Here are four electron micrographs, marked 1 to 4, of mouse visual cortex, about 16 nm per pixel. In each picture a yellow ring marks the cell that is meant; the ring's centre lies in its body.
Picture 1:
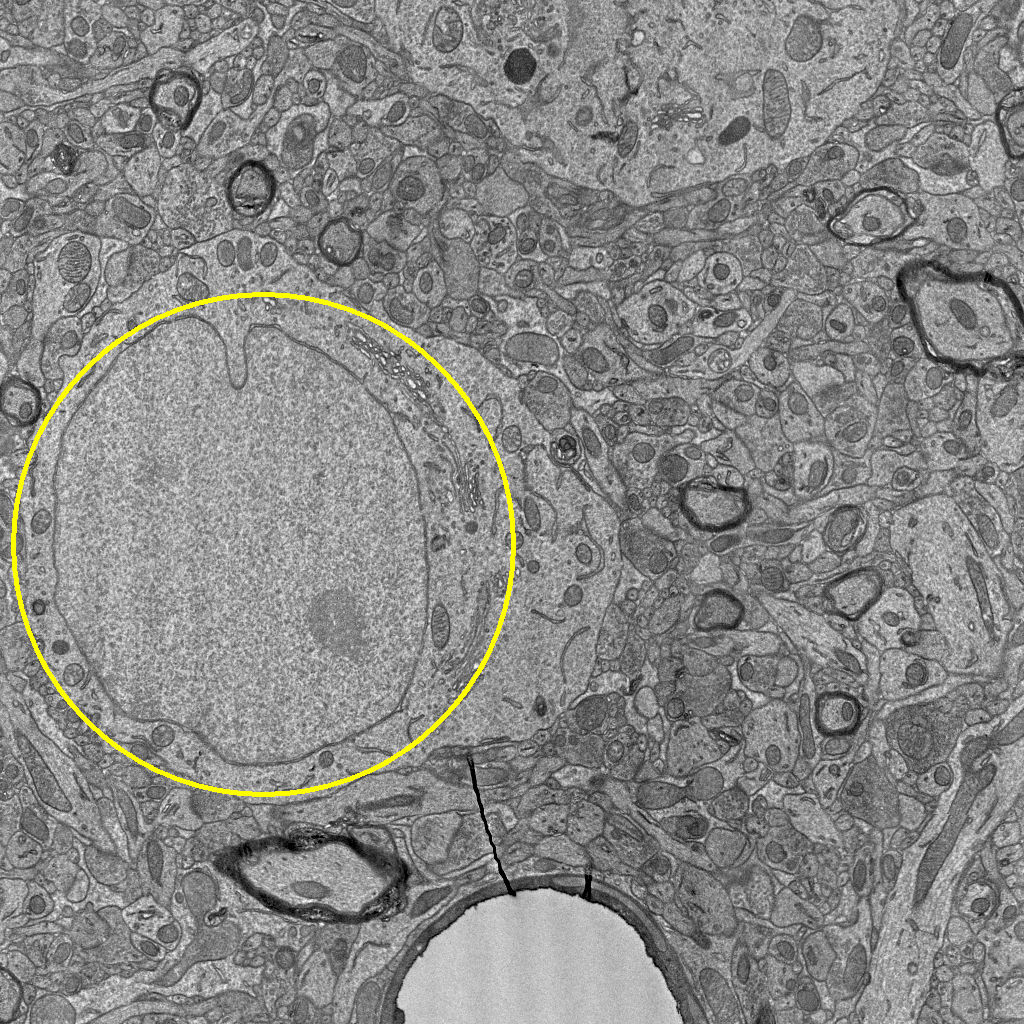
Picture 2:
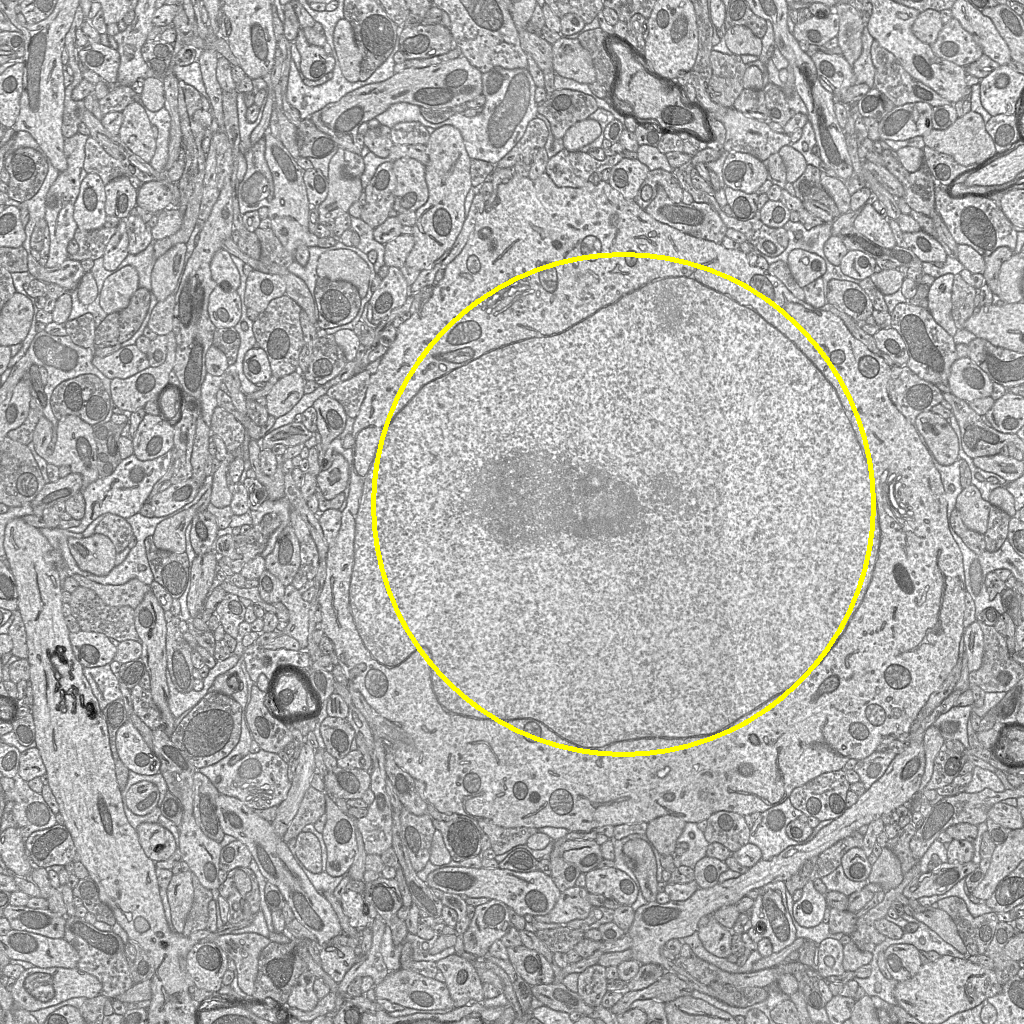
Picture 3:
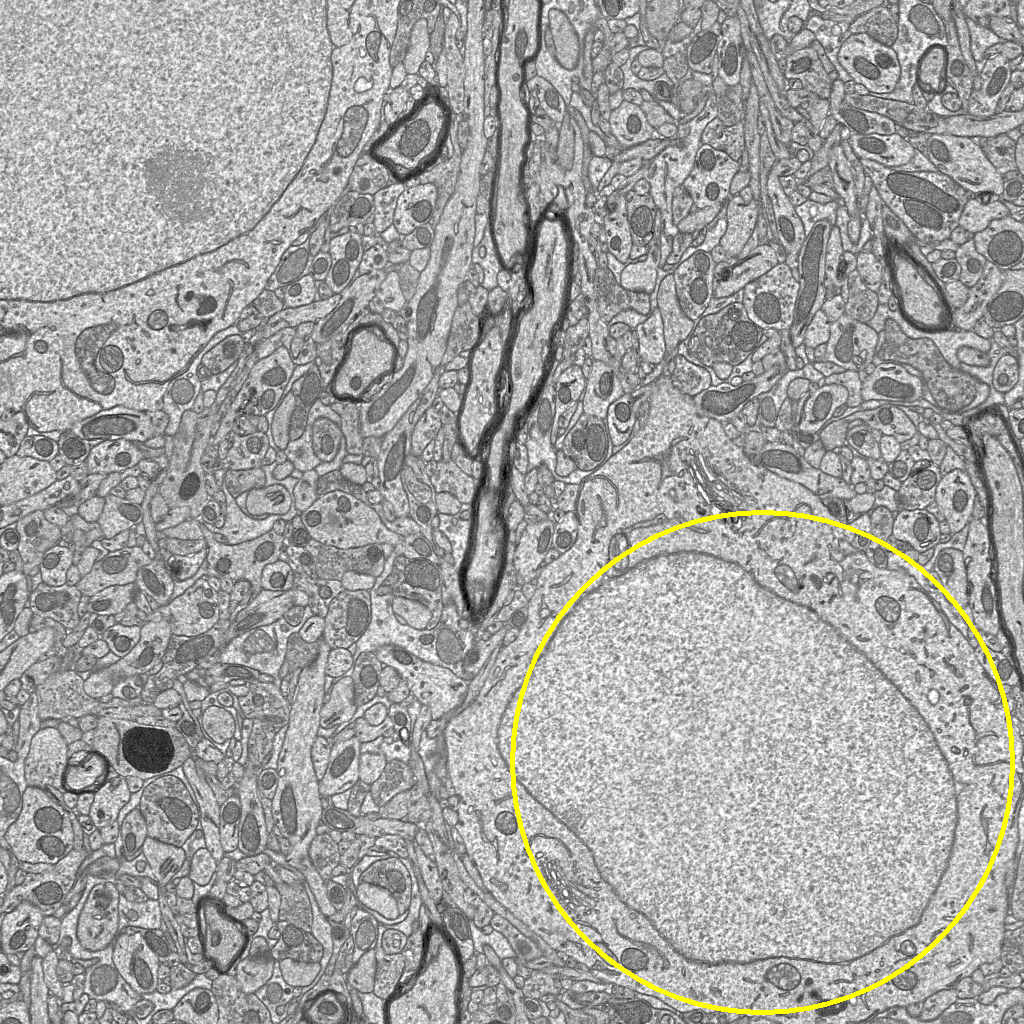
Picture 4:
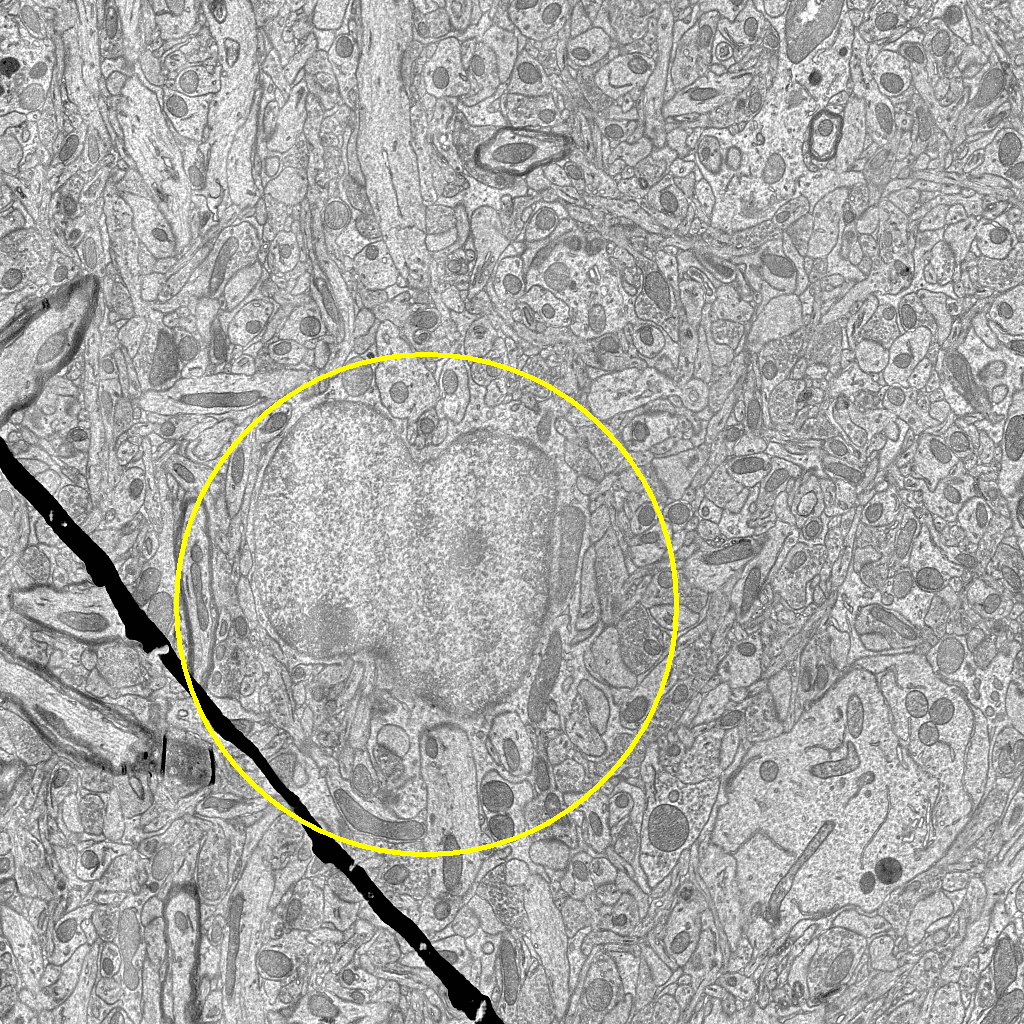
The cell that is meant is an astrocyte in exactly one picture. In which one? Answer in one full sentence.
Picture 4 is the one that shows the astrocyte.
